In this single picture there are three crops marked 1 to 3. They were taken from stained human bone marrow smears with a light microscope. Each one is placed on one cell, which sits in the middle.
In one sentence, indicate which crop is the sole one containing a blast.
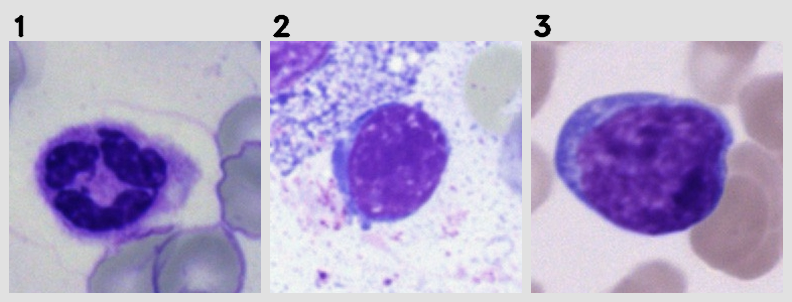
On review of the set, crop 3 is the one showing a blast.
